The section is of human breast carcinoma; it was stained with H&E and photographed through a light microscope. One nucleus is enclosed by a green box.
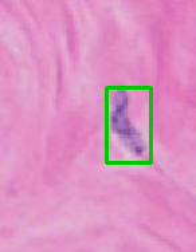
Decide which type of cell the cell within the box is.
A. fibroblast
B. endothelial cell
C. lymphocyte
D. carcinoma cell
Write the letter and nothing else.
A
